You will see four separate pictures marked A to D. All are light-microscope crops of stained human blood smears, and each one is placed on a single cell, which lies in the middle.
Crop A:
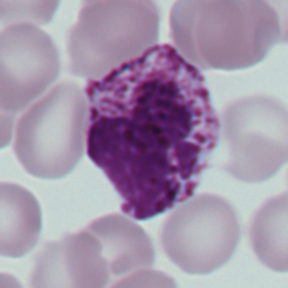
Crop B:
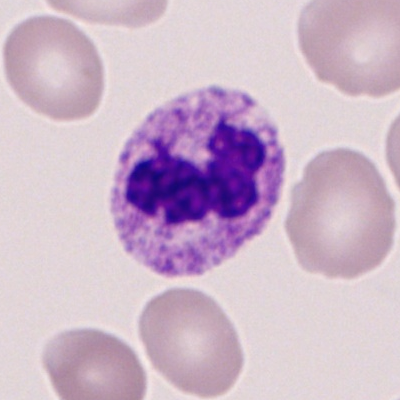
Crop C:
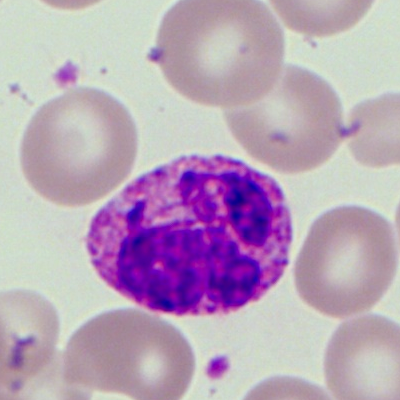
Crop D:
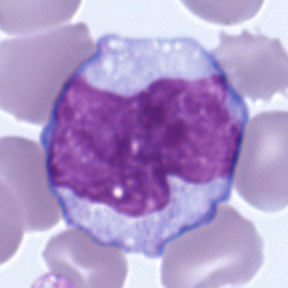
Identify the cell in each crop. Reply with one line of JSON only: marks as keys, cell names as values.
{"A": "basophil", "B": "segmented neutrophil", "C": "basophil", "D": "monocyte"}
